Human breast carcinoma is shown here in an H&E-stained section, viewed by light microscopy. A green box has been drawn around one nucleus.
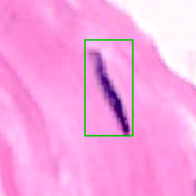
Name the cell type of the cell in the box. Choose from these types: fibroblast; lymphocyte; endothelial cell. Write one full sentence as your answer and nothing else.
Recorded by type, the cell in the box is a fibroblast.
